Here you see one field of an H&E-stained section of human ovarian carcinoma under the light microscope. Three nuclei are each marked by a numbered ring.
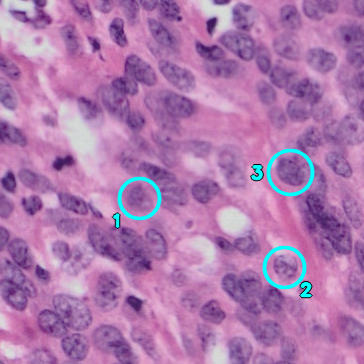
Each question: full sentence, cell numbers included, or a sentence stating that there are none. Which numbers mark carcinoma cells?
Identification: the cells with numbers 1 and 3 are carcinoma cells.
